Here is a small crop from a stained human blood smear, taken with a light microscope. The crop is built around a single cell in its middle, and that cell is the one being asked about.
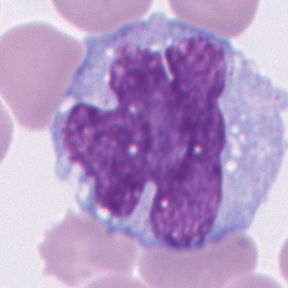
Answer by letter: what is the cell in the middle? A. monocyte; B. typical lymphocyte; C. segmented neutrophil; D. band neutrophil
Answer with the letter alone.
A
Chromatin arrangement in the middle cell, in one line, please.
The nuclear chromatin is fine, showing no coarse aggregates.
